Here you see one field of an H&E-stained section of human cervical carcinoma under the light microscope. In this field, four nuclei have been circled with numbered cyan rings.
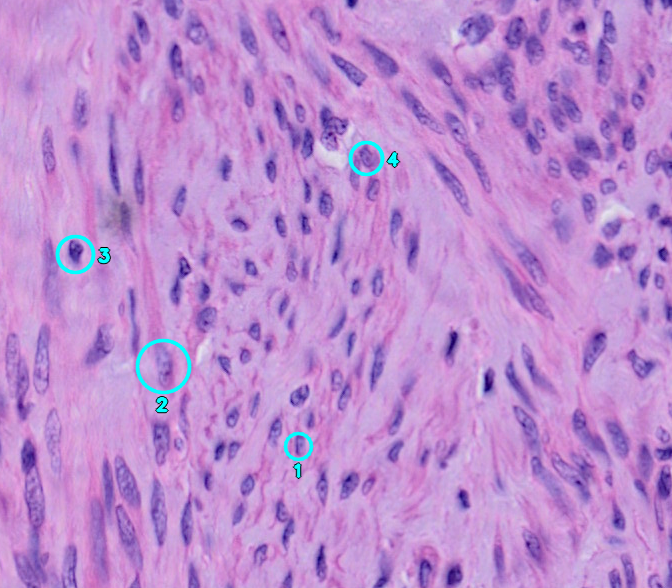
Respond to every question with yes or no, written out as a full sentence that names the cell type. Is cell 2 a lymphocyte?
No, that is wrong: cell 2 is a smooth muscle cell, and not a lymphocyte.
